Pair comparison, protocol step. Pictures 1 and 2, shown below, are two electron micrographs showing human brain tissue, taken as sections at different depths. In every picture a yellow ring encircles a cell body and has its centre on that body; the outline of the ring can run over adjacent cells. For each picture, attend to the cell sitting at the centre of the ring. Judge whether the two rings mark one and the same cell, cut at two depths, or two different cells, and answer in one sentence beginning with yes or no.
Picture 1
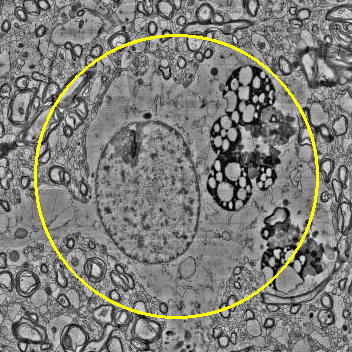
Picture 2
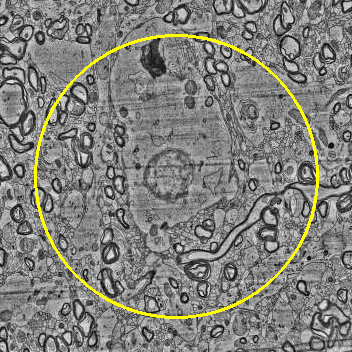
No, two distinct cells are each enclosed by a yellow ring.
